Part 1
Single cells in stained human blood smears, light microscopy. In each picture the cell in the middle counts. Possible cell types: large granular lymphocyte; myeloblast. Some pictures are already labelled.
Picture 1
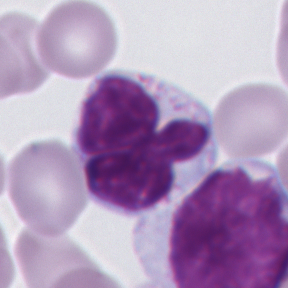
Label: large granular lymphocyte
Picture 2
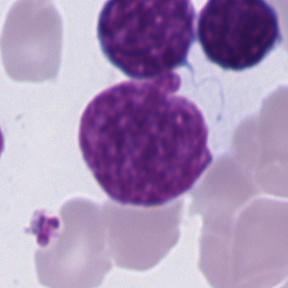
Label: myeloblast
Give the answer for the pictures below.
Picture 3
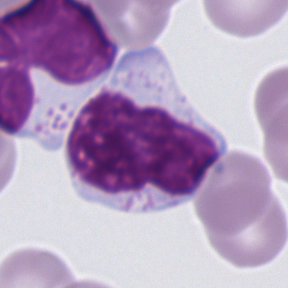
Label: large granular lymphocyte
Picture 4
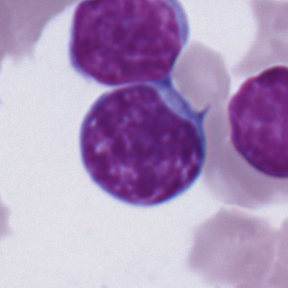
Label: myeloblast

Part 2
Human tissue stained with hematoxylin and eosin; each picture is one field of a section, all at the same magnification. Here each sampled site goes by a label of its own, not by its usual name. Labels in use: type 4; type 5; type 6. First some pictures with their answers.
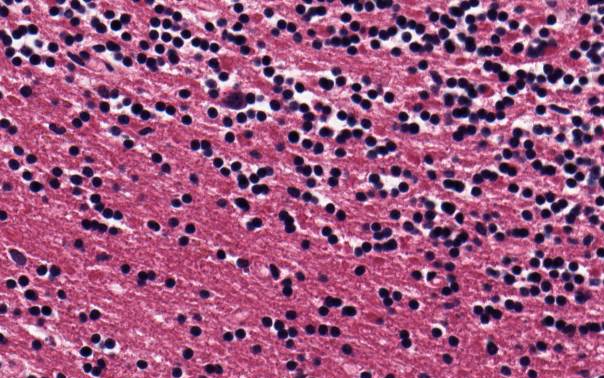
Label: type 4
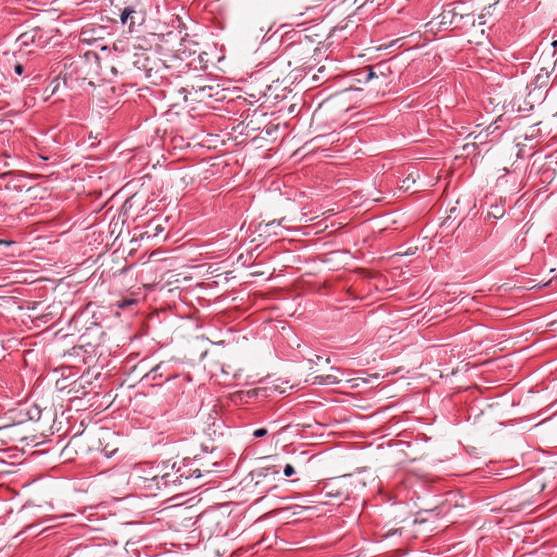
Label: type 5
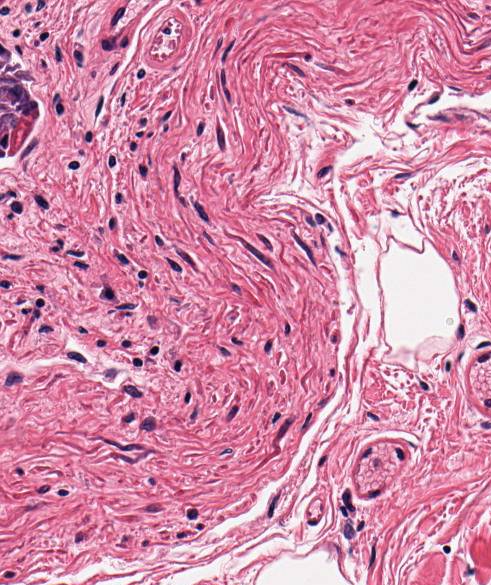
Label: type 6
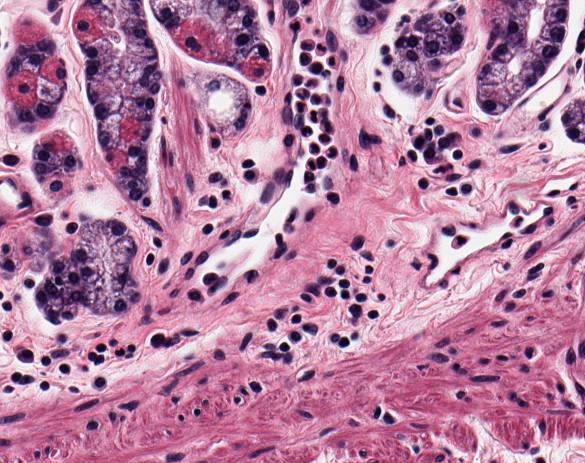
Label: type 6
